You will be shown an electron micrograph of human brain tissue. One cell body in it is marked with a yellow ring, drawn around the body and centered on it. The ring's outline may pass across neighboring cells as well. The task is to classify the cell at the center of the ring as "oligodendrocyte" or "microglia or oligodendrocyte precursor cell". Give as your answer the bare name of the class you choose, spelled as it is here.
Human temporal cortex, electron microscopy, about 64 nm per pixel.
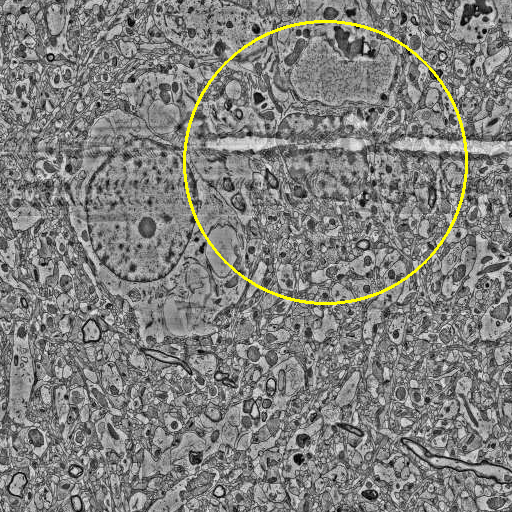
microglia or oligodendrocyte precursor cell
